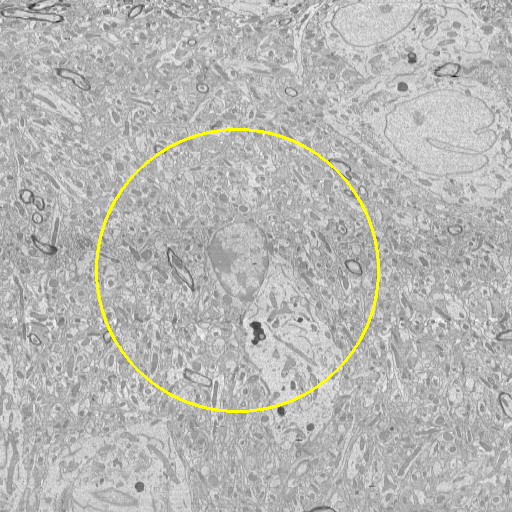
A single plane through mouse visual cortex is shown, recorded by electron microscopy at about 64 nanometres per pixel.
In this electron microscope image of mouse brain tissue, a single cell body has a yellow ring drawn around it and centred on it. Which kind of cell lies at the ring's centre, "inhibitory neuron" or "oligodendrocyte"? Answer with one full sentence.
It is an oligodendrocyte whose cell body lies at the centre of the yellow ring here.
